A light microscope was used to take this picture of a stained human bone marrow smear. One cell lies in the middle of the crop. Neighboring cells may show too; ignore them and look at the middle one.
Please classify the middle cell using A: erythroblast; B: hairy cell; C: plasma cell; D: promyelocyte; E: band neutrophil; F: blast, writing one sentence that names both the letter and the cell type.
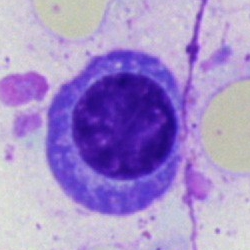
The correct option here is C; the middle cell is a plasma cell.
